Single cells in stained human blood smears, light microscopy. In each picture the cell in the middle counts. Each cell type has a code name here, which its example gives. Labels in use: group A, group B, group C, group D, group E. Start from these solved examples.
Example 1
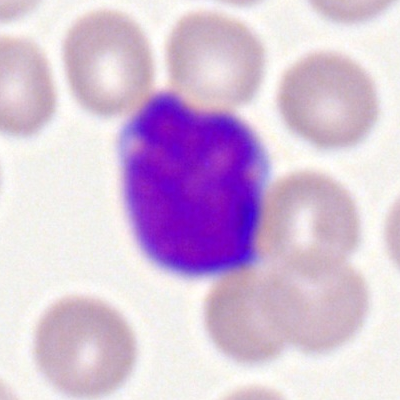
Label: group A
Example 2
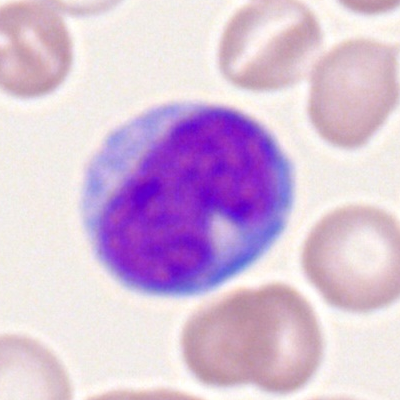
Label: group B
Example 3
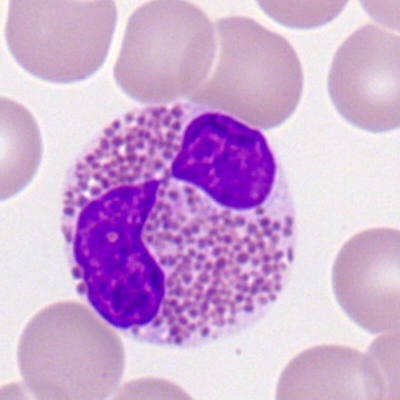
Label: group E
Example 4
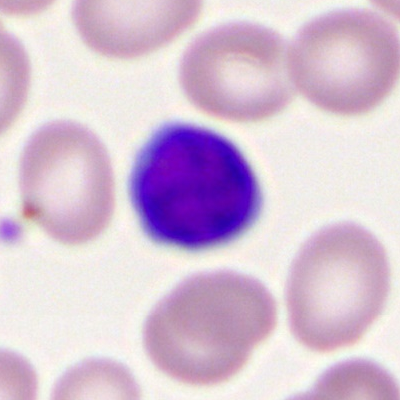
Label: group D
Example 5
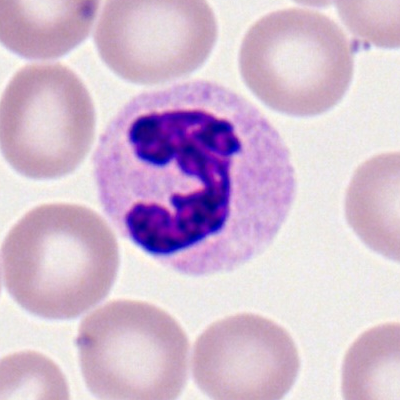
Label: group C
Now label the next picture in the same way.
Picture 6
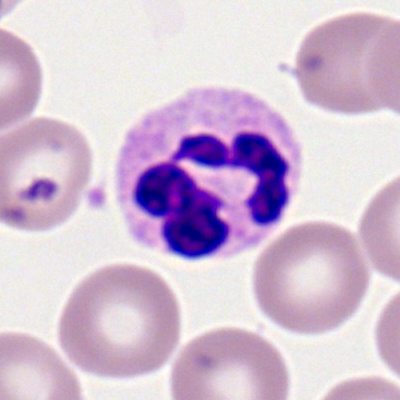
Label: group C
